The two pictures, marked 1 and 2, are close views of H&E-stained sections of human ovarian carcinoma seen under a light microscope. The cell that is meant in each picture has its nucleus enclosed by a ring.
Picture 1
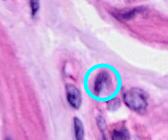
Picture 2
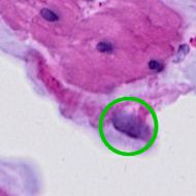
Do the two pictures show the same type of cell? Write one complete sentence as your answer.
Yes, both cells are endothelial cells.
